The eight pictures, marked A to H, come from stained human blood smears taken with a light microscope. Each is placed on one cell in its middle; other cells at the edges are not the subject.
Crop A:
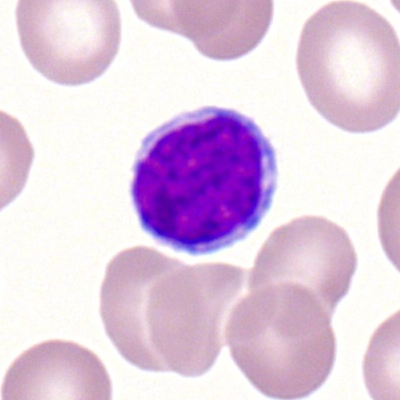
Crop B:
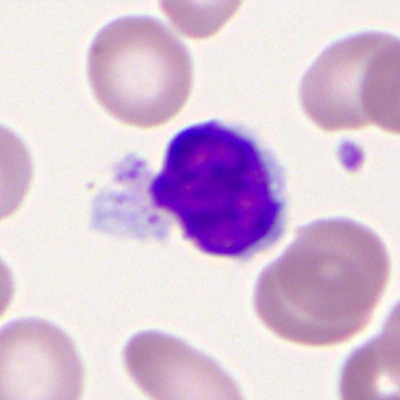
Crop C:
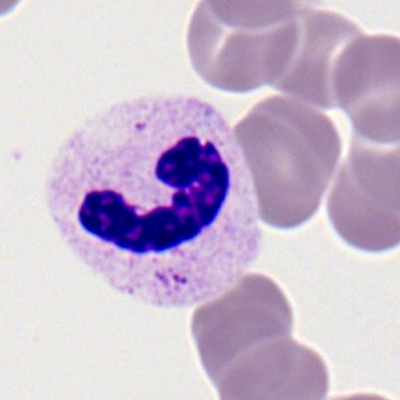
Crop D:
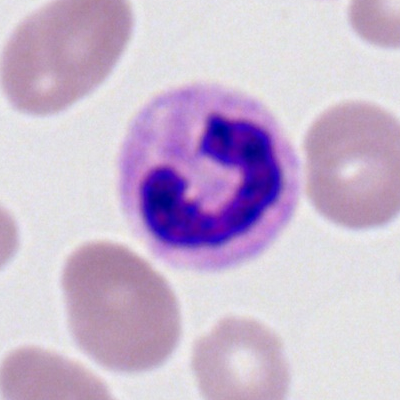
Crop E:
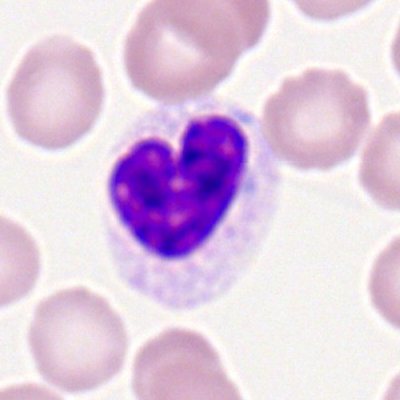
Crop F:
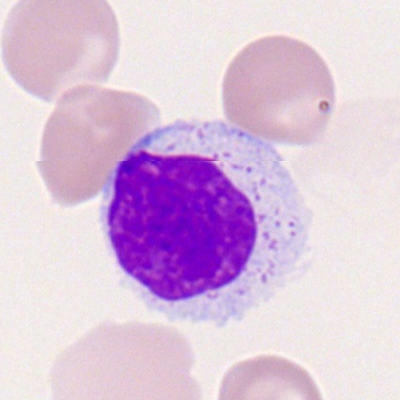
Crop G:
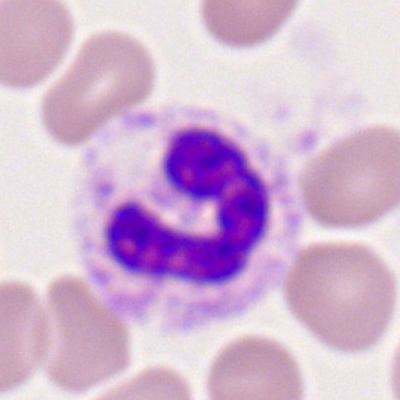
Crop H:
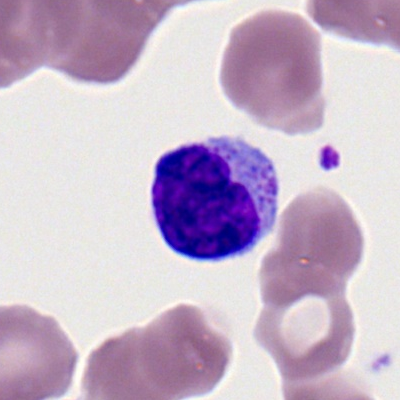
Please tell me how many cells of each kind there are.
lymphocyte: 4
band neutrophil: 4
